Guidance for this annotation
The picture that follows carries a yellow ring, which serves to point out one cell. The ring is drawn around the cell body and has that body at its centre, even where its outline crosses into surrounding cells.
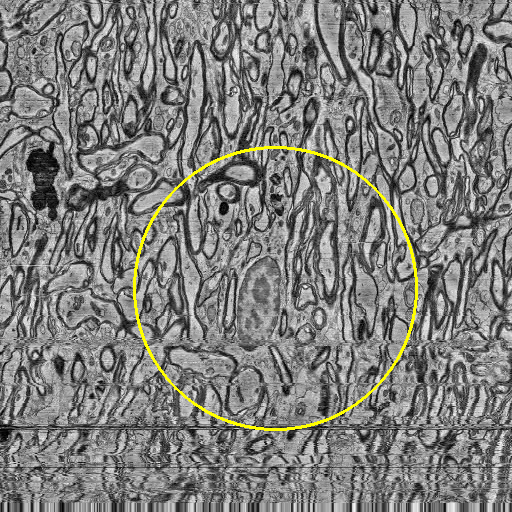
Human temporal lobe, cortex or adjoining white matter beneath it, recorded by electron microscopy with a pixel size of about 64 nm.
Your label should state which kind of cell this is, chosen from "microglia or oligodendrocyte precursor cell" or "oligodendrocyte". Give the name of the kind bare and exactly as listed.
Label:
microglia or oligodendrocyte precursor cell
